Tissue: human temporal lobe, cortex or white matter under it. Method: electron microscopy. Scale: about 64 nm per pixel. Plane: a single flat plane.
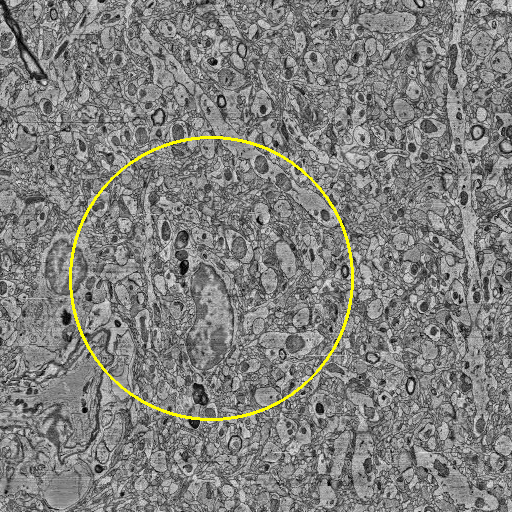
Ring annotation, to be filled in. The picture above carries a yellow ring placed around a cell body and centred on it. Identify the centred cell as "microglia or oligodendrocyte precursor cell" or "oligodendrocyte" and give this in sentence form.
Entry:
The cell in the middle of the ring is a microglial cell or oligodendrocyte precursor cell.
